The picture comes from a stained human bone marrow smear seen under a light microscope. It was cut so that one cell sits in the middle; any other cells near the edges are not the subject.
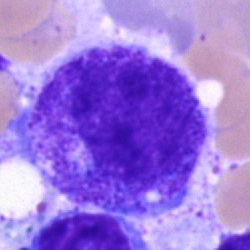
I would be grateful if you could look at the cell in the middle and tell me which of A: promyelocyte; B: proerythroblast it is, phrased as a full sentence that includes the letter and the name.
The correct identification, given in option A, is that the central cell is a promyelocyte.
